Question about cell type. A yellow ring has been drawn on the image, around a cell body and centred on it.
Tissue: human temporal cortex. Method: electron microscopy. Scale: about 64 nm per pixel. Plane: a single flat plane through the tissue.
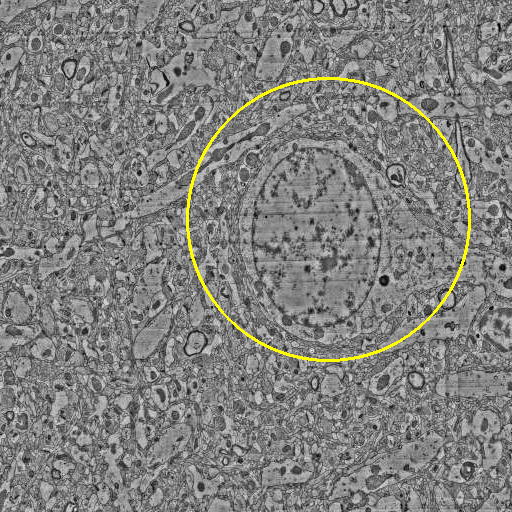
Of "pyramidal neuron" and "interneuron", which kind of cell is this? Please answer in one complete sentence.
At the centre of the ring lies a pyramidal neuron.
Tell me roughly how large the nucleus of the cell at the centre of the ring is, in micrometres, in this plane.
The nucleus of the ringed cell is approximately 12 by 8 micrometres in this plane.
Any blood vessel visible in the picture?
No.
